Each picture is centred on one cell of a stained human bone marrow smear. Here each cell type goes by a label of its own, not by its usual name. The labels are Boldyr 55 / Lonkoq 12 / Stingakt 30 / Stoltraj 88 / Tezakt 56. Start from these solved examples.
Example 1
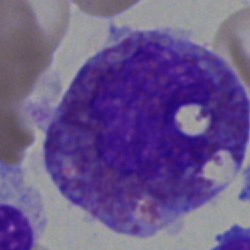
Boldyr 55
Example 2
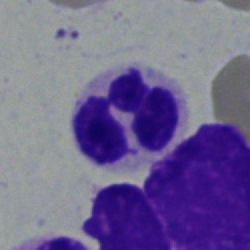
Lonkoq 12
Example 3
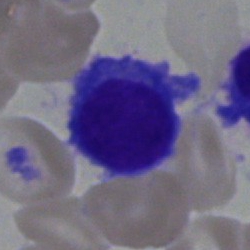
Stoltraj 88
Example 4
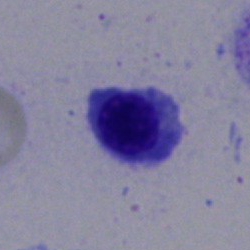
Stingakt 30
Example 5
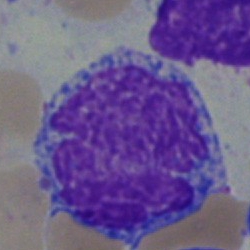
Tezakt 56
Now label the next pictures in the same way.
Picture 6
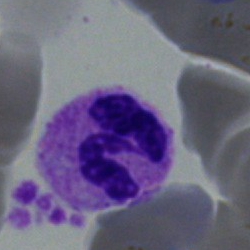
Lonkoq 12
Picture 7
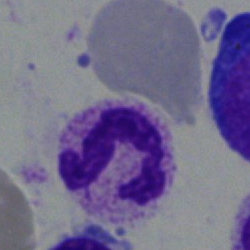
Lonkoq 12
